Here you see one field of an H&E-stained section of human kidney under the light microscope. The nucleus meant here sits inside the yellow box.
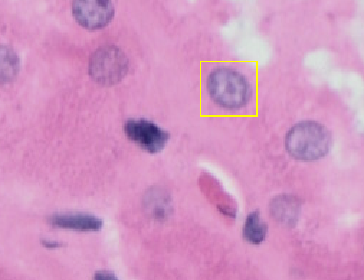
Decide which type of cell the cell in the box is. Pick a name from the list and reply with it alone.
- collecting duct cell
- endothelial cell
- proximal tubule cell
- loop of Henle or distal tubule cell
proximal tubule cell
